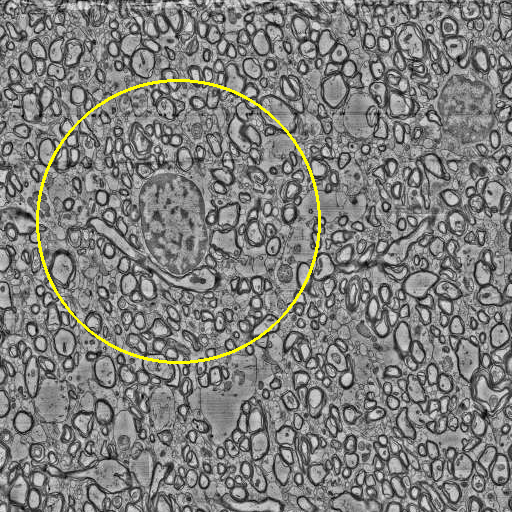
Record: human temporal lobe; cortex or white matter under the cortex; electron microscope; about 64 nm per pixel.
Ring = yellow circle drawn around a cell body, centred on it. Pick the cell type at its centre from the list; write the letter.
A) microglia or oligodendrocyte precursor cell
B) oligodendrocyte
A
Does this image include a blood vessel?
No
